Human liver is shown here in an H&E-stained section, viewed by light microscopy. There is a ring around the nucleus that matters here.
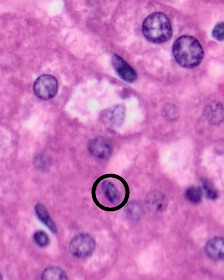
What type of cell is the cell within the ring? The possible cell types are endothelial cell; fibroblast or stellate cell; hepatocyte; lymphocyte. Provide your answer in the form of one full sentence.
Students should answer that the cell within the ring is a fibroblast or stellate cell.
